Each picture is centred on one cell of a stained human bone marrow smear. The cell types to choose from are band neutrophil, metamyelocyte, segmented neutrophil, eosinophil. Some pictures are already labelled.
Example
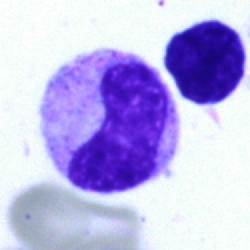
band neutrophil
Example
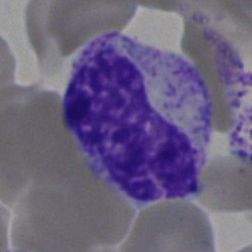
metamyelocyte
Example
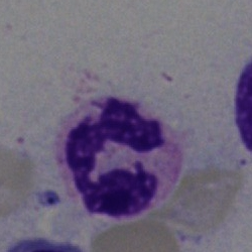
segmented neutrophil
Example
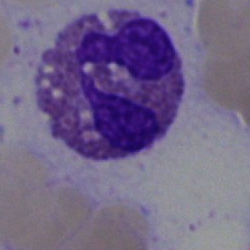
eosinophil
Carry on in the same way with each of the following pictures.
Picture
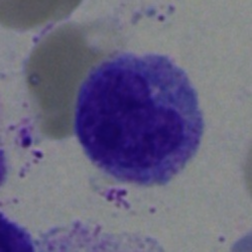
metamyelocyte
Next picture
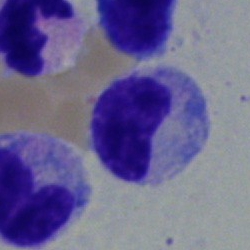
metamyelocyte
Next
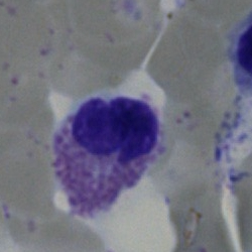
eosinophil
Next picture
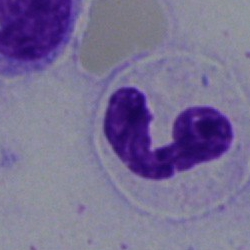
segmented neutrophil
